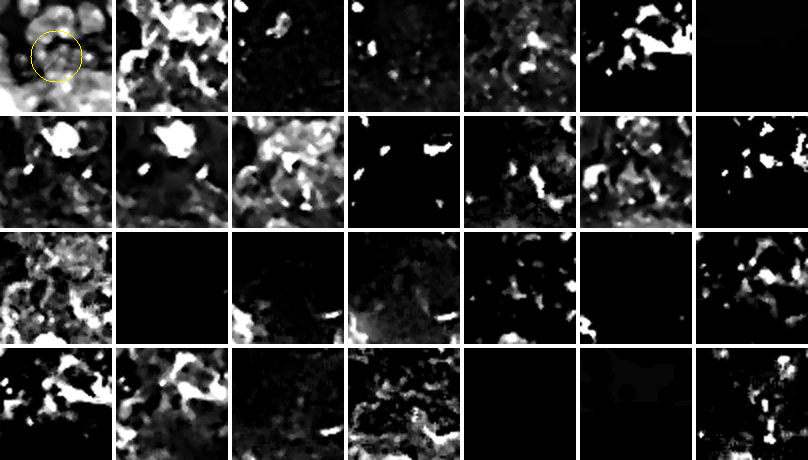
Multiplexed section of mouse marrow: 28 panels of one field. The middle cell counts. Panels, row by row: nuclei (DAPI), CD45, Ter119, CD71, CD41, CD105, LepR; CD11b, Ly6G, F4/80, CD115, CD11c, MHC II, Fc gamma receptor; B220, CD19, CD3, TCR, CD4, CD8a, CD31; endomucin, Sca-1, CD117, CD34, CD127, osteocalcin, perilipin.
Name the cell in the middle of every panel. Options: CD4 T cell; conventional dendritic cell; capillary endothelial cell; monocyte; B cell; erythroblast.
capillary endothelial cell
